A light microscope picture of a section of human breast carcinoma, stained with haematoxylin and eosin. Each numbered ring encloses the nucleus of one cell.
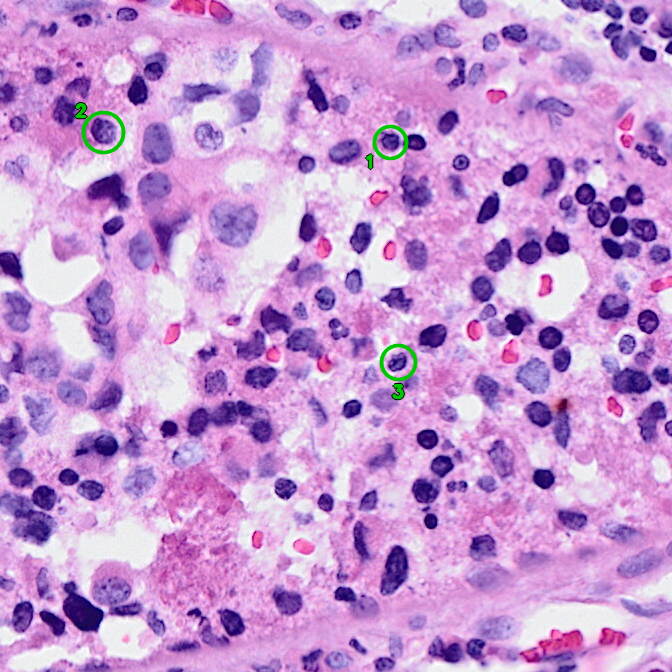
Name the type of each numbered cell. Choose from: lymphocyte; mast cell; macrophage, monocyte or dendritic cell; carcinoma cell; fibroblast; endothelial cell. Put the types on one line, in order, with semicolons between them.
lymphocyte; carcinoma cell; lymphocyte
